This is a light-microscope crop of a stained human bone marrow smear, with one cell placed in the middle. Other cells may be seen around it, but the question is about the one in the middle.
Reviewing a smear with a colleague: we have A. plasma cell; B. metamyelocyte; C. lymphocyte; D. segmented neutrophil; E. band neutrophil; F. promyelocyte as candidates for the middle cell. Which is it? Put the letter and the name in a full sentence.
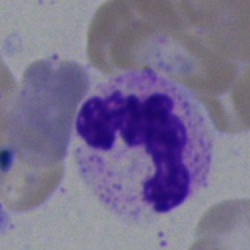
Correctly, option D names the cell in the middle a segmented neutrophil.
